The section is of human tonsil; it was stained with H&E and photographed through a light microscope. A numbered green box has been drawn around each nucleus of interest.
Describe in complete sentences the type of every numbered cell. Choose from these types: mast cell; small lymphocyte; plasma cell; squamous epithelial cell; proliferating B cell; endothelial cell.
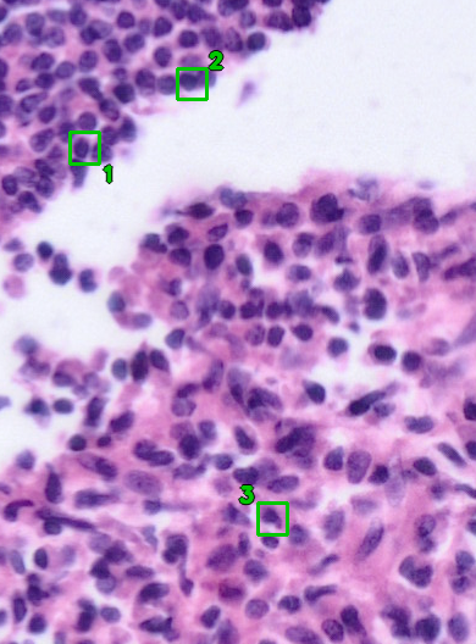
Cells 1 and 2 are small lymphocytes. Cell 3 is a plasma cell.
